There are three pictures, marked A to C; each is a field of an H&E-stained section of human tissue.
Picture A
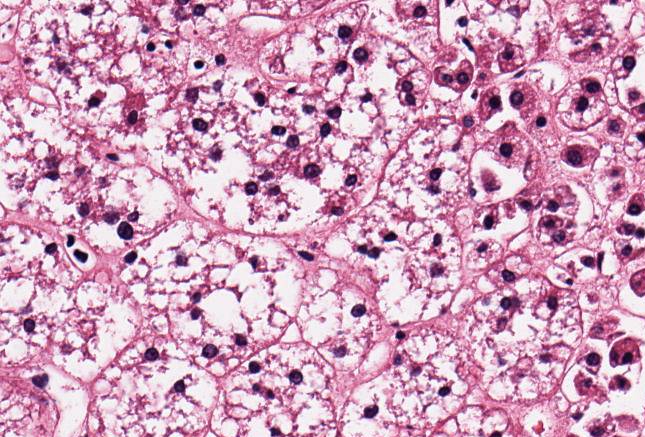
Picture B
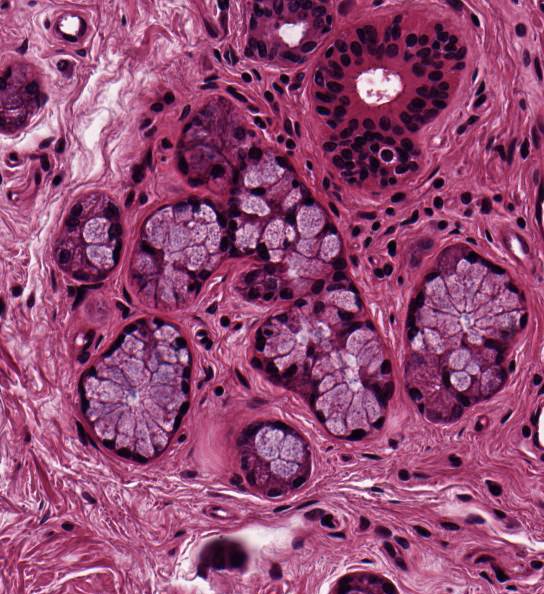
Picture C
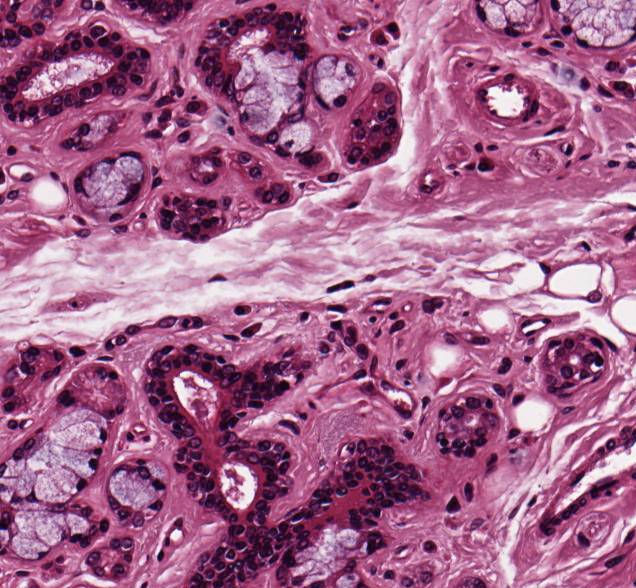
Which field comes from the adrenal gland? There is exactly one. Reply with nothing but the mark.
A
